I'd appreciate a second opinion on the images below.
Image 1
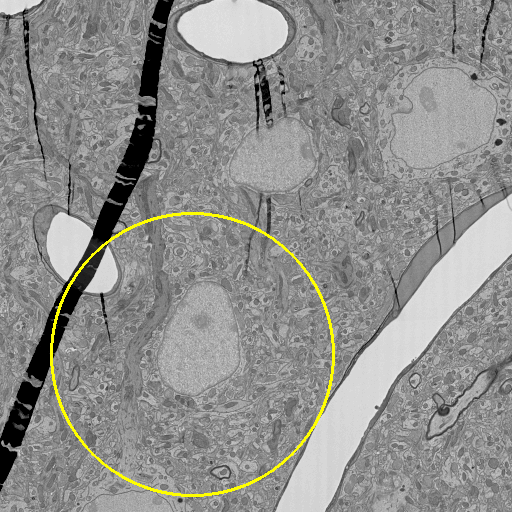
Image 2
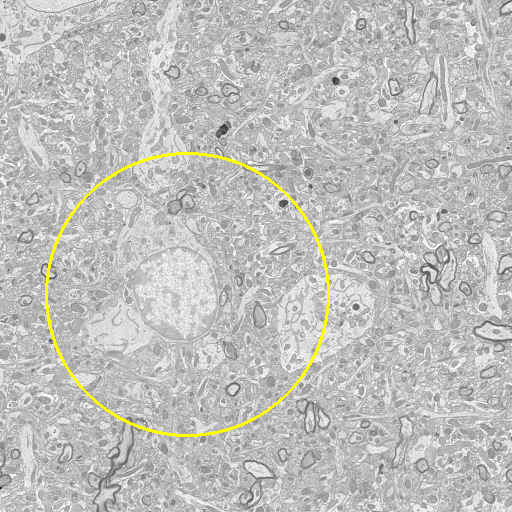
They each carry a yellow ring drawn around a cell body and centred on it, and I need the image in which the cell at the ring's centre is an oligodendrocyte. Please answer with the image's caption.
Image 2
